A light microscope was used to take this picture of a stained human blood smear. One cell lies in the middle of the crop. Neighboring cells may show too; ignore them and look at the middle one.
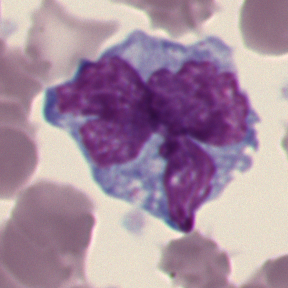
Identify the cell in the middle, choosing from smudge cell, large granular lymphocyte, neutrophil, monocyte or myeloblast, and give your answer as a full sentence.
In this smear crop, the middle cell is a monocyte.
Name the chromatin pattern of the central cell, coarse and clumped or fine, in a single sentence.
What stands out is fine chromatin lacking any coarse clumps.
